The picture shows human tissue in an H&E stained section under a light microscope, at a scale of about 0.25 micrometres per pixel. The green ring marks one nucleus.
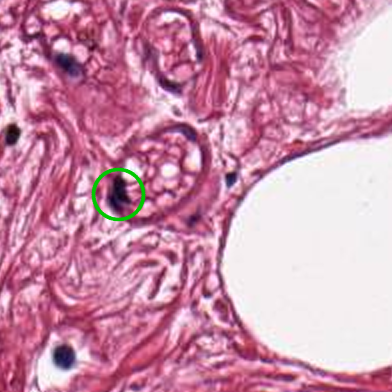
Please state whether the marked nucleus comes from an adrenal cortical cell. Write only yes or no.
no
